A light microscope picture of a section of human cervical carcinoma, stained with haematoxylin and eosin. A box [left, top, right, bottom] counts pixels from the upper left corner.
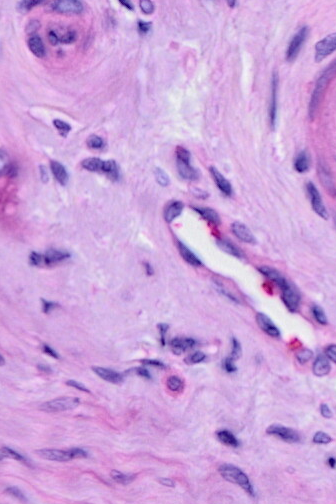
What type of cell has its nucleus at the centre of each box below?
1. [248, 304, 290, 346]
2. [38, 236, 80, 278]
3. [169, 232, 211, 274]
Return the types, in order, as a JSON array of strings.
["endothelial cell", "fibroblast", "endothelial cell"]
